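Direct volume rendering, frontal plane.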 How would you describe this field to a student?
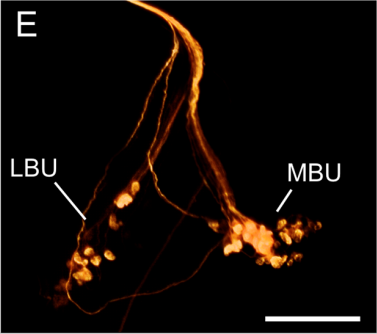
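Bundles of thin neuronal fibres run down and split into two groups, each ending in a cluster of large, rounded, knob-like synaptic terminals. The two terminal clusters lie side by side, one more compact than the other, with the fibres converging on them from above.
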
